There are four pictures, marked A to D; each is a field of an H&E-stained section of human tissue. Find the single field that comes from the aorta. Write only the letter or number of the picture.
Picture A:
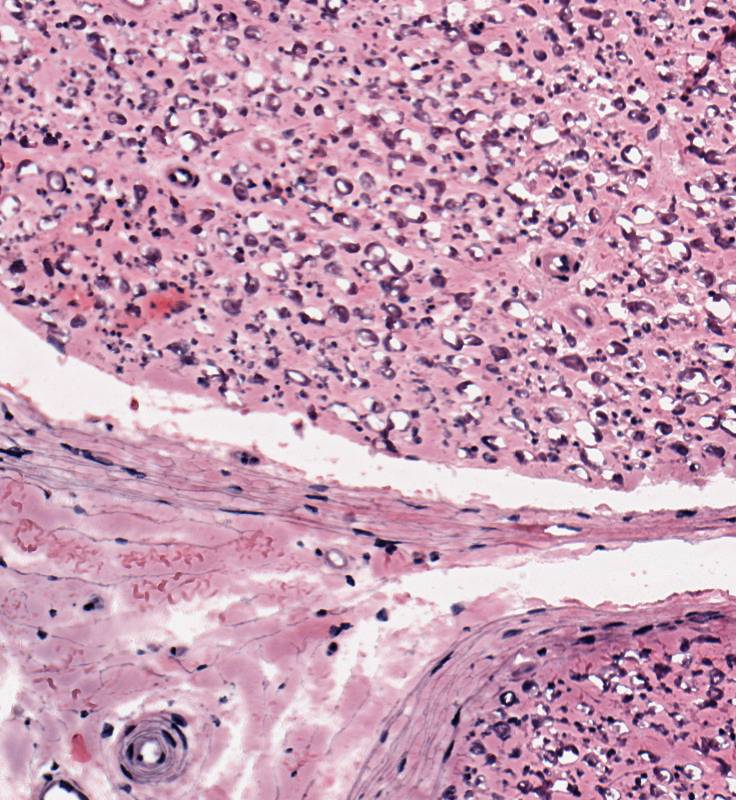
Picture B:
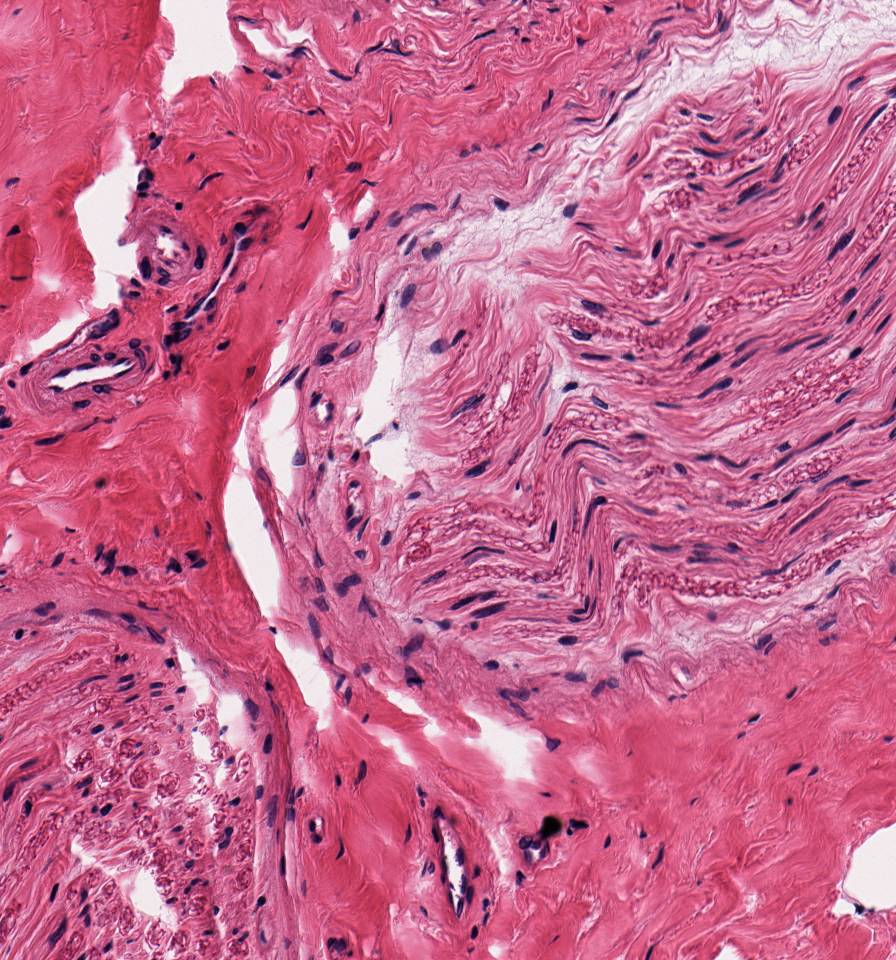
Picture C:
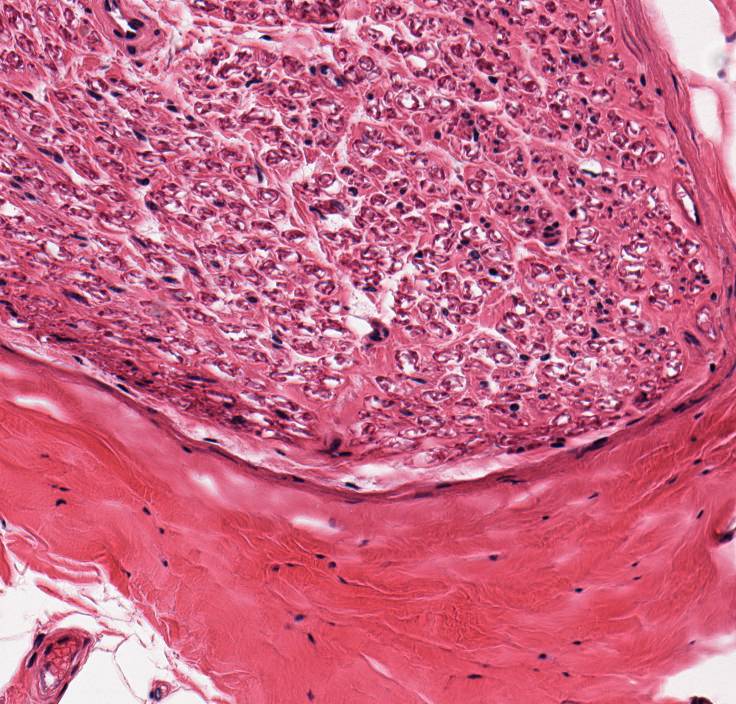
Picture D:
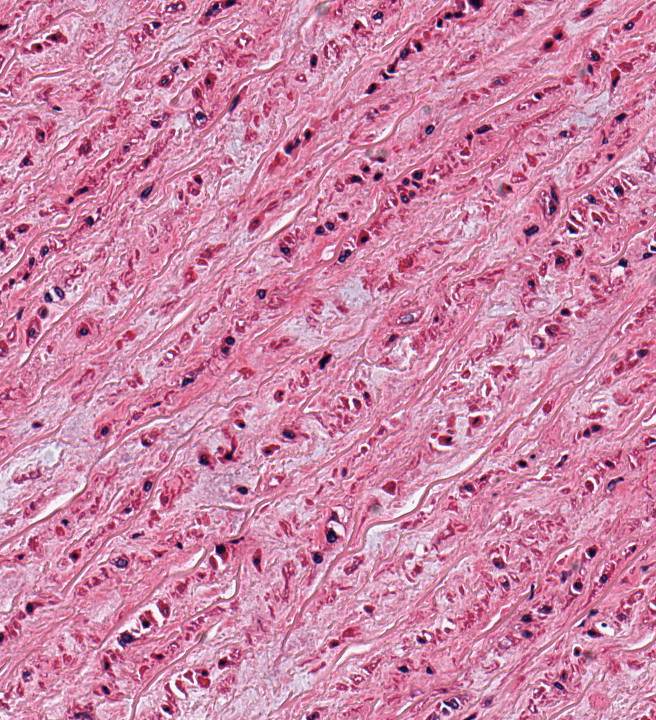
D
